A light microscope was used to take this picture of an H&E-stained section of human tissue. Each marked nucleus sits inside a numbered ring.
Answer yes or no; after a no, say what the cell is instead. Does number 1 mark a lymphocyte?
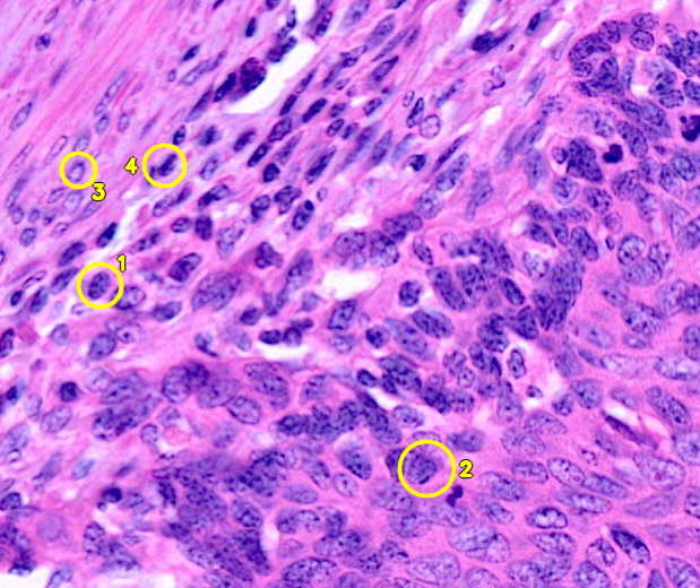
Yes.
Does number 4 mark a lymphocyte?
Yes.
